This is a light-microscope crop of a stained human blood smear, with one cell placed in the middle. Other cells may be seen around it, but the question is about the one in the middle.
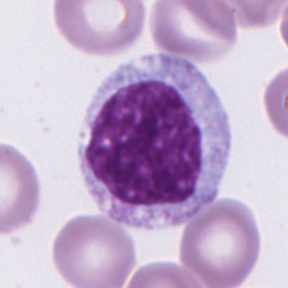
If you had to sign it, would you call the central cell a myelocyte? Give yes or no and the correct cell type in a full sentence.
Yes, that is a myelocyte in the middle of the crop.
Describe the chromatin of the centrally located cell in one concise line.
Take a look at the chromatin, which is coarsely clumped.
